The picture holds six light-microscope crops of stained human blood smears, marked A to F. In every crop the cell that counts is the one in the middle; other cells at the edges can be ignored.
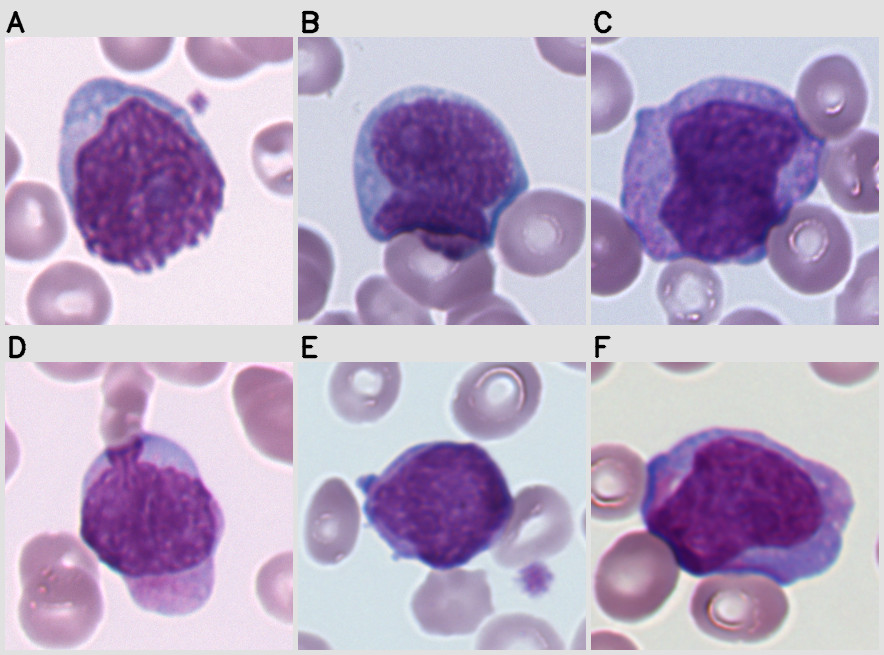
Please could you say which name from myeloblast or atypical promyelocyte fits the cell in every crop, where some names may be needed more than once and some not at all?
A: myeloblast
B: myeloblast
C: atypical promyelocyte
D: atypical promyelocyte
E: myeloblast
F: atypical promyelocyte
